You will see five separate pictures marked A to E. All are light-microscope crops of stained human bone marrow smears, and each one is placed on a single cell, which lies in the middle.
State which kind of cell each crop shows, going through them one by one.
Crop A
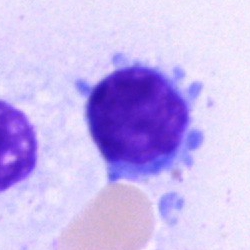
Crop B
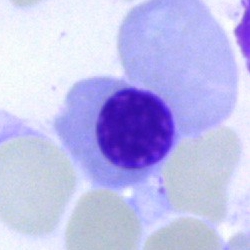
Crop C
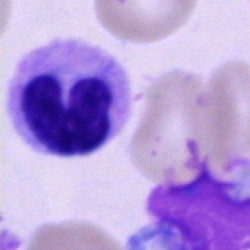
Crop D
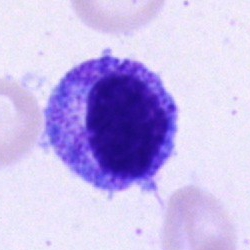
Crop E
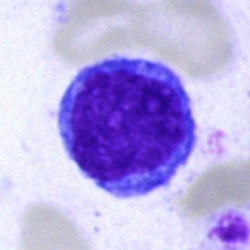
A: lymphocyte
B: erythroblast
C: band neutrophil
D: myelocyte
E: lymphocyte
